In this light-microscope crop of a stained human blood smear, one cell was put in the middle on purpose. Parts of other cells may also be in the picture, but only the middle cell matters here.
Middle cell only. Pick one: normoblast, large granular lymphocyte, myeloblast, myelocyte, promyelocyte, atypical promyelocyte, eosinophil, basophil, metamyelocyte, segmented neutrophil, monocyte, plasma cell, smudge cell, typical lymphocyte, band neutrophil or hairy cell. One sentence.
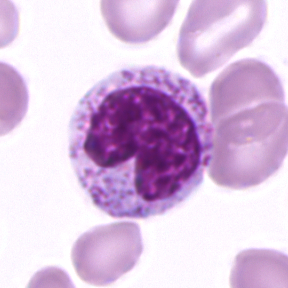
Centred in the crop is a band neutrophil.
